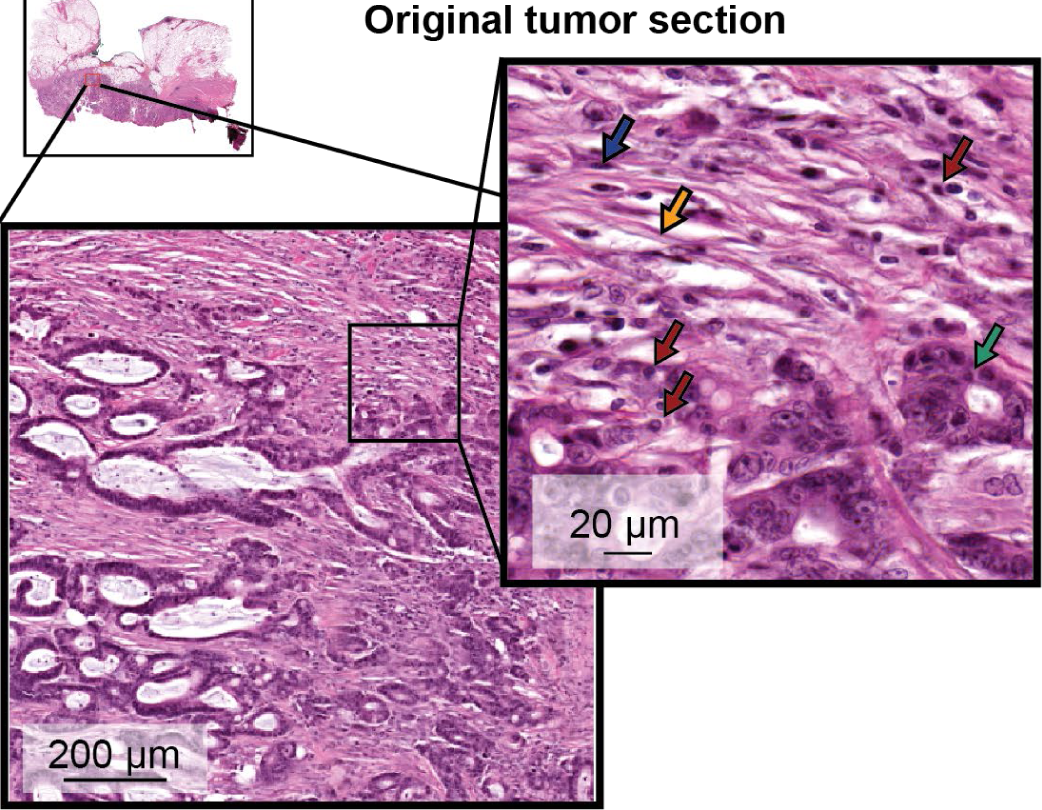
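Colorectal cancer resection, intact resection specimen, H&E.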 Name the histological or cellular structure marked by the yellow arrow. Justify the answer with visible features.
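Collagen fibers. The yellow arrow points to wavy, pale pink, acellular fibrous strands. The strands run in parallel bundles between cells.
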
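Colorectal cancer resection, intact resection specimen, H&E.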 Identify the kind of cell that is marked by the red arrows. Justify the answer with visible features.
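The red arrows point to small round cells with dark, dense nuclei and scant cytoplasm. They lie scattered within the pink stroma. That points to this answer: Lymphocytes.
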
